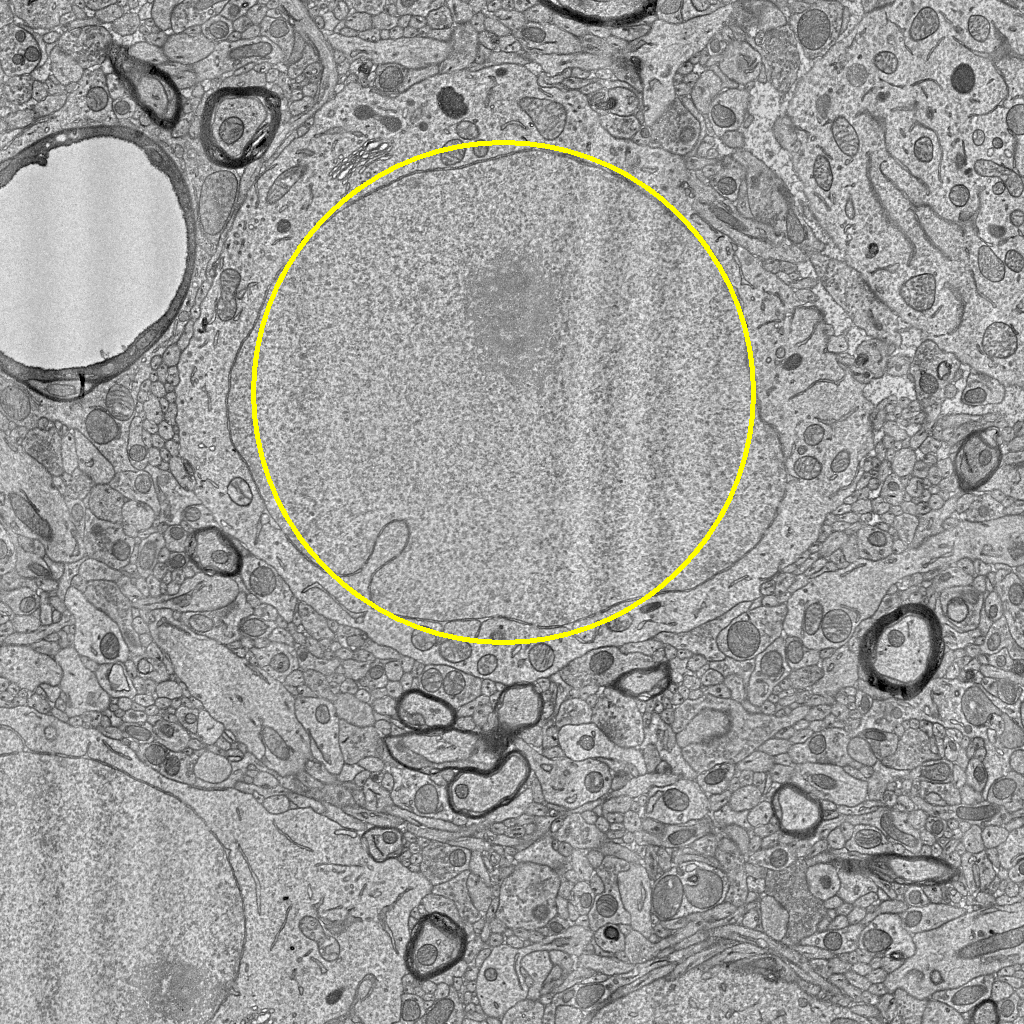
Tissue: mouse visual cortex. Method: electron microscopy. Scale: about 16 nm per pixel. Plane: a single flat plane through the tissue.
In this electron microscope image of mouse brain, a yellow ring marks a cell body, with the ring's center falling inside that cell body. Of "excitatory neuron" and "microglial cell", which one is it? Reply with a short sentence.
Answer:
It is an excitatory neuron at the center of the ring.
